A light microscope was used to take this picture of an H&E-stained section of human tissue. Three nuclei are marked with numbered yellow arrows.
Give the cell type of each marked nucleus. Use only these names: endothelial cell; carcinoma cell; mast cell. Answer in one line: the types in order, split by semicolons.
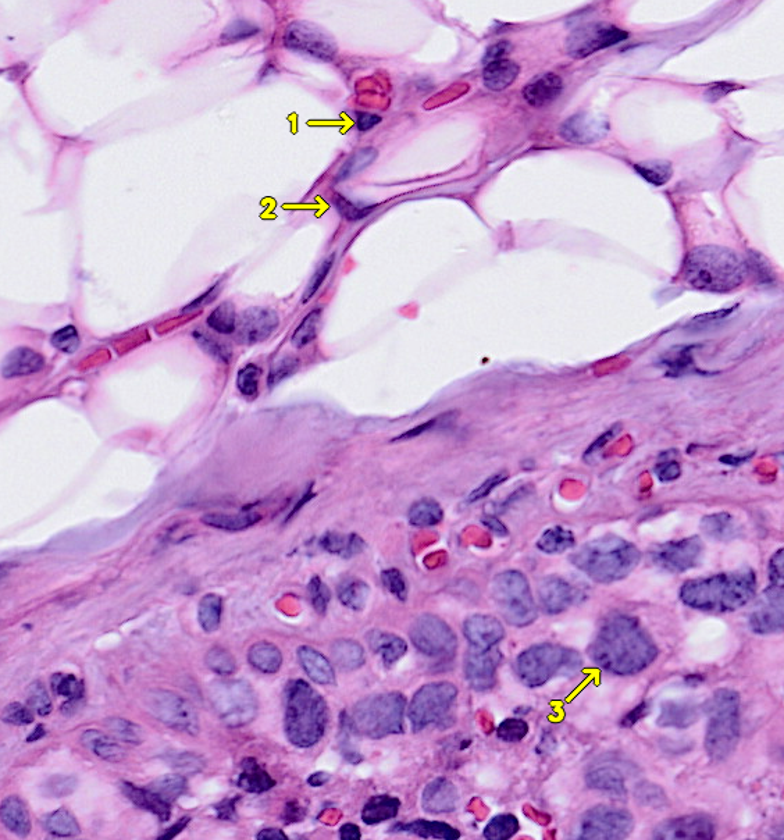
endothelial cell; endothelial cell; carcinoma cell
